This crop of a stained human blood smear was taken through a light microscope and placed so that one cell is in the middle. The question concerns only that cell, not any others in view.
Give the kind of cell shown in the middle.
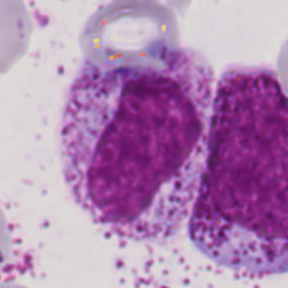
band neutrophil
